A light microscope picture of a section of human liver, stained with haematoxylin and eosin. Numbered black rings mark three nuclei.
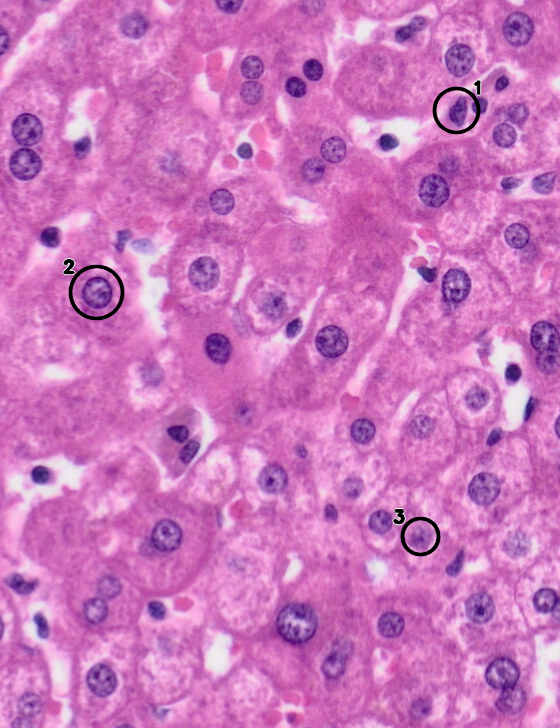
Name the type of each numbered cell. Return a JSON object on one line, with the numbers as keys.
{"1": "Kupffer cell", "2": "hepatocyte", "3": "hepatocyte"}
